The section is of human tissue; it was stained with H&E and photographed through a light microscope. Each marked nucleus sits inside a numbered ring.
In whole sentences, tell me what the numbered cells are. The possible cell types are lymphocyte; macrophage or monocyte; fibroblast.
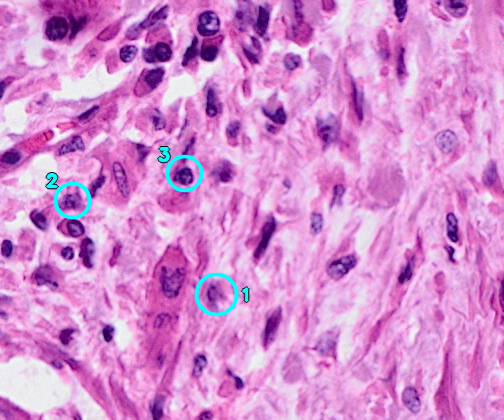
Cell 1 is a fibroblast, cell 2 is a macrophage or monocyte and cell 3 is a lymphocyte.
